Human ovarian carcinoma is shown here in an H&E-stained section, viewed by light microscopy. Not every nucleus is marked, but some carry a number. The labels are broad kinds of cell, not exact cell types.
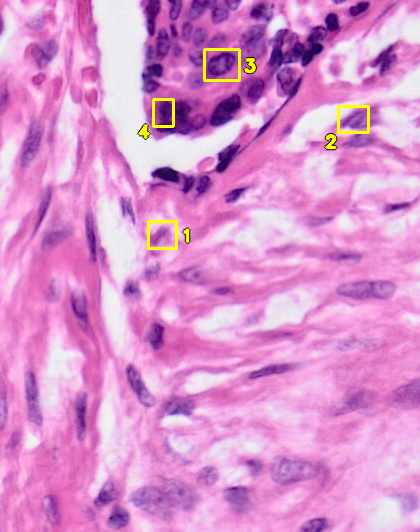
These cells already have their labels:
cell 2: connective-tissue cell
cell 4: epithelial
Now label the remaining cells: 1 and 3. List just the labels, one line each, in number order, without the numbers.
connective-tissue cell
epithelial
